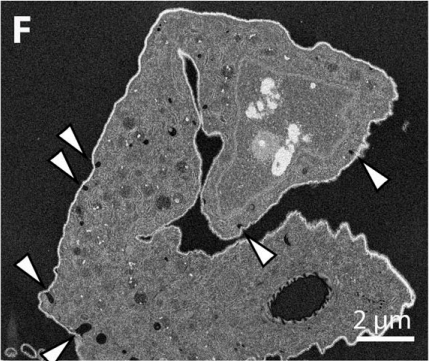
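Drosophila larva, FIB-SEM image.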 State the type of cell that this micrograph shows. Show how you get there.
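A cell profile with a nucleus holds a dark oval lumen inside its cytoplasm. The lumen is lined by a bright border with small tooth-like projections. On this evidence: tracheal cell.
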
